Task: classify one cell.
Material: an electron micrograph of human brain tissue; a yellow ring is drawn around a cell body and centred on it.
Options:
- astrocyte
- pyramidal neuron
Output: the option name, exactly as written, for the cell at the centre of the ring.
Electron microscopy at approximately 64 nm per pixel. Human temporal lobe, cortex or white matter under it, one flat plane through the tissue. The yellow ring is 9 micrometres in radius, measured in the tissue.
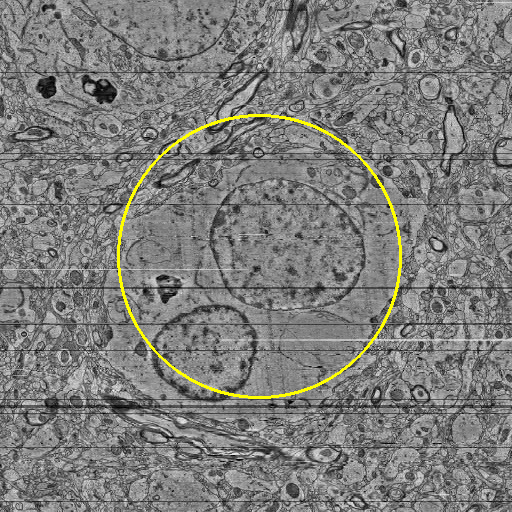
astrocyte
